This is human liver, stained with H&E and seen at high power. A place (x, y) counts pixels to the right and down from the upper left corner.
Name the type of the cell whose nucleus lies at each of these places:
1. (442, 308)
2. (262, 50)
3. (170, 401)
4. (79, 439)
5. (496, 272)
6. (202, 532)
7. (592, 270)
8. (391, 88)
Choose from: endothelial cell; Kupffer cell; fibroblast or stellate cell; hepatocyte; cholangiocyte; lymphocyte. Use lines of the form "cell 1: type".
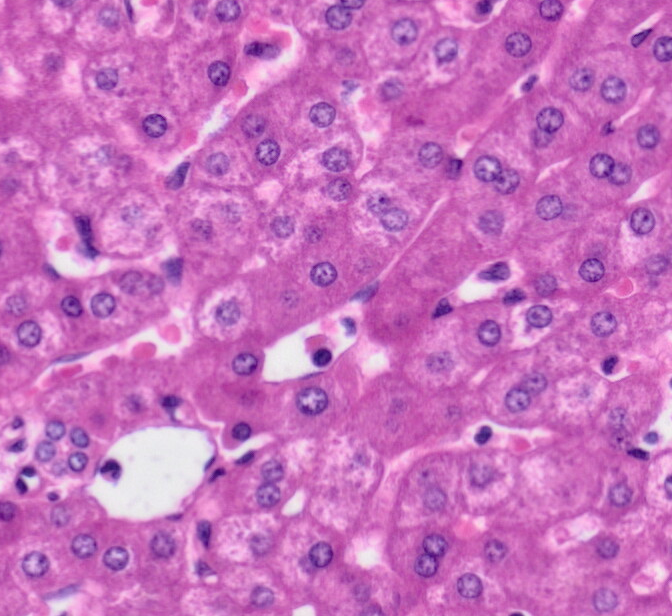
cell 1: fibroblast or stellate cell
cell 2: Kupffer cell
cell 3: fibroblast or stellate cell
cell 4: cholangiocyte
cell 5: Kupffer cell
cell 6: fibroblast or stellate cell
cell 7: hepatocyte
cell 8: hepatocyte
